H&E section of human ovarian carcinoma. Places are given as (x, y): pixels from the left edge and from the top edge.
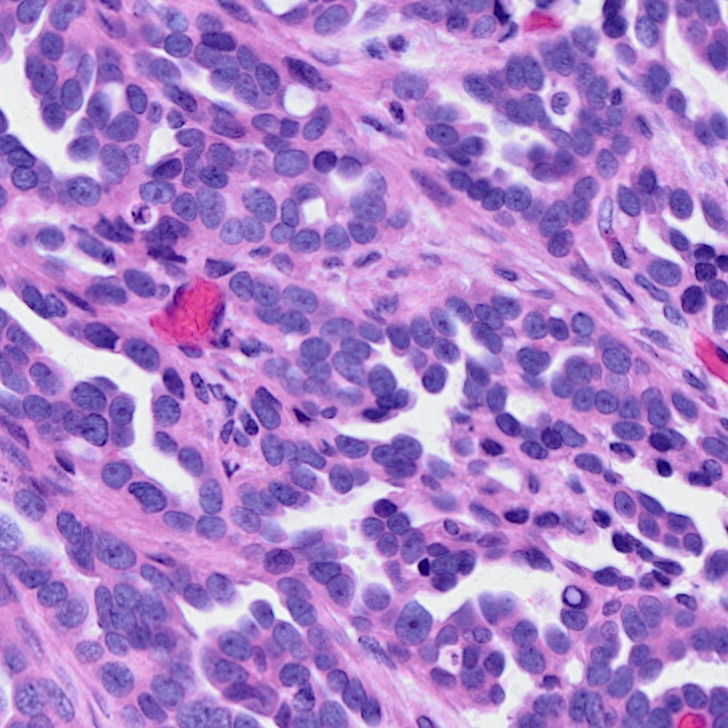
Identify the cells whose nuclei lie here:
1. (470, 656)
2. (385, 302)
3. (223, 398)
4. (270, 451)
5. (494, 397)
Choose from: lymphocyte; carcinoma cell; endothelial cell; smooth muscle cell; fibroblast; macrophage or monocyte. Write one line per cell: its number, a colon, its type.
1: carcinoma cell
2: fibroblast
3: fibroblast
4: carcinoma cell
5: carcinoma cell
